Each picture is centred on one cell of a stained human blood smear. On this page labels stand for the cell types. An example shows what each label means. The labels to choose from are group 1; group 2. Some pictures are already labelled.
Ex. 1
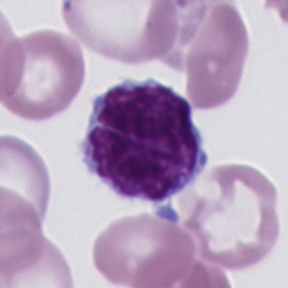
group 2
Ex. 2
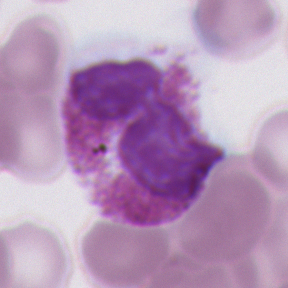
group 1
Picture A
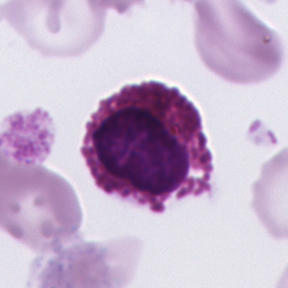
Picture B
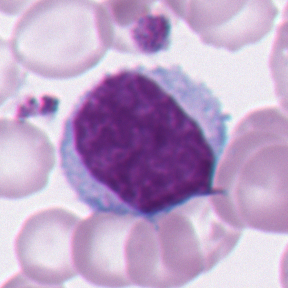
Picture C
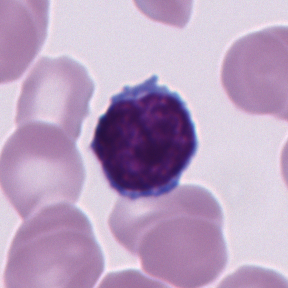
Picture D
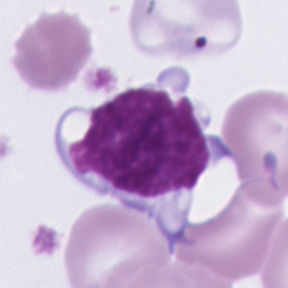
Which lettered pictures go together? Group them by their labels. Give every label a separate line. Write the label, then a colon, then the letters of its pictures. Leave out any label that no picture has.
group 1: A
group 2: B, C, D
